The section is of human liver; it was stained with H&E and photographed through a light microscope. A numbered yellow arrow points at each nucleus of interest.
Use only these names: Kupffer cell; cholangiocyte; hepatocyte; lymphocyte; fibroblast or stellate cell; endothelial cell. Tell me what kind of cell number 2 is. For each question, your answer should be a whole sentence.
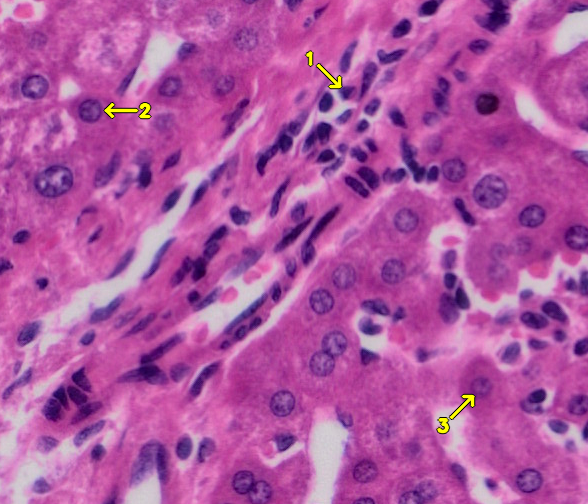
Cell 2 is classified as a hepatocyte.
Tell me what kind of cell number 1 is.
The cell marked with the number 1 is a fibroblast or stellate cell.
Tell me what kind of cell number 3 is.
Cell 3 of the marked set is a hepatocyte.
